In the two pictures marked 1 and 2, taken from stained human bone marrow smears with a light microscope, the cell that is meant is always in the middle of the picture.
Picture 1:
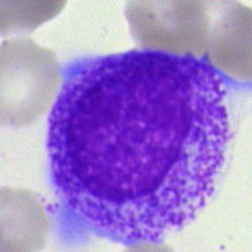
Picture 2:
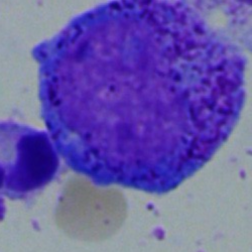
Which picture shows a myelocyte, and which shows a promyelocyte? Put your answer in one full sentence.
In picture 1 the cell is a myelocyte; in picture 2, a promyelocyte.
